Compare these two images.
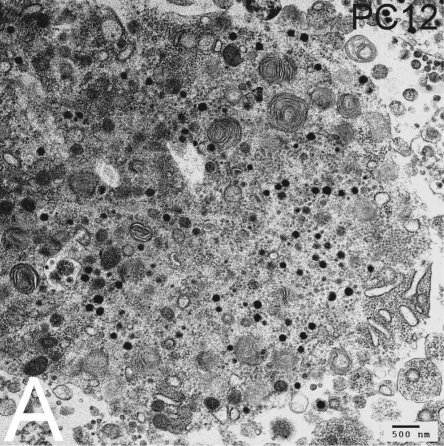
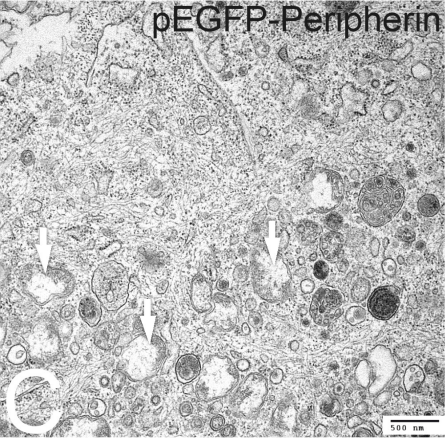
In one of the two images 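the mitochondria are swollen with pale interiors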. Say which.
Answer: The second image.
